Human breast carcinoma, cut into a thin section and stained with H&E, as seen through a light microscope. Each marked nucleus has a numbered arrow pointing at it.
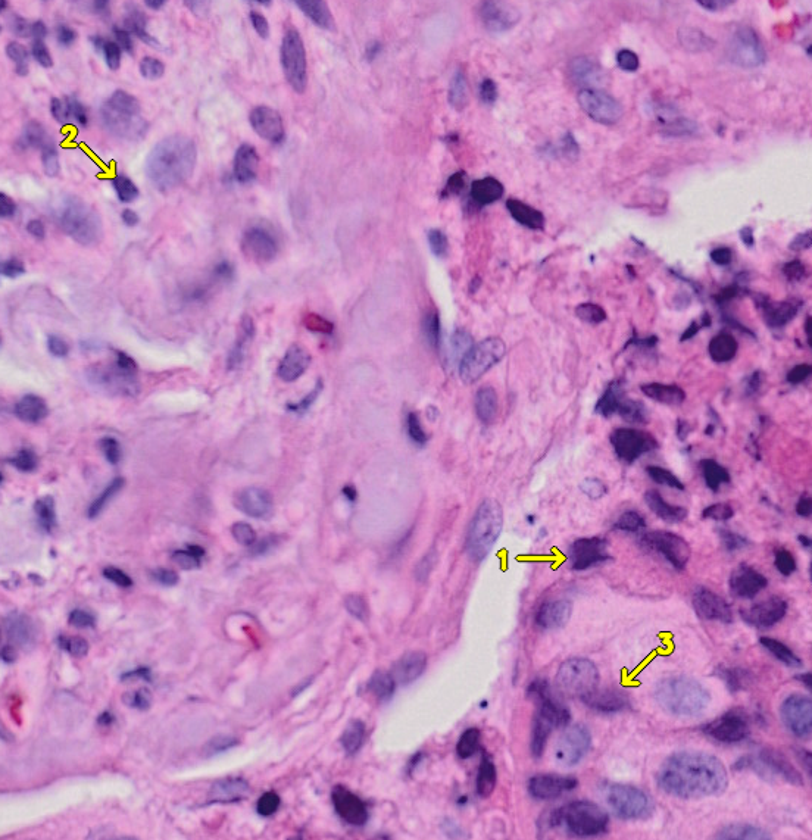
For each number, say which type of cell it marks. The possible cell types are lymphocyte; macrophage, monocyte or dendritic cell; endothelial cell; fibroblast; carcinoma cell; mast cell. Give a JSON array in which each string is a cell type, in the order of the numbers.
["carcinoma cell", "lymphocyte", "carcinoma cell"]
